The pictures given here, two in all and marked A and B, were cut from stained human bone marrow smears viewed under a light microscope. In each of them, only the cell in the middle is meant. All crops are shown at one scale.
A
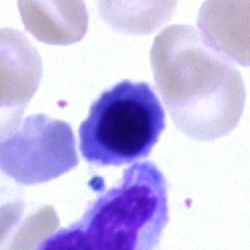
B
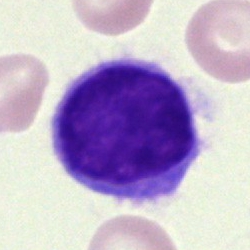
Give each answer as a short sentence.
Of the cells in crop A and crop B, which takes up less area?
Crop A holds the smaller cell, since the cell in crop B covers about 3 times as much area.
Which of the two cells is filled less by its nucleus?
It is the cell in crop A that is filled less by its nucleus.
